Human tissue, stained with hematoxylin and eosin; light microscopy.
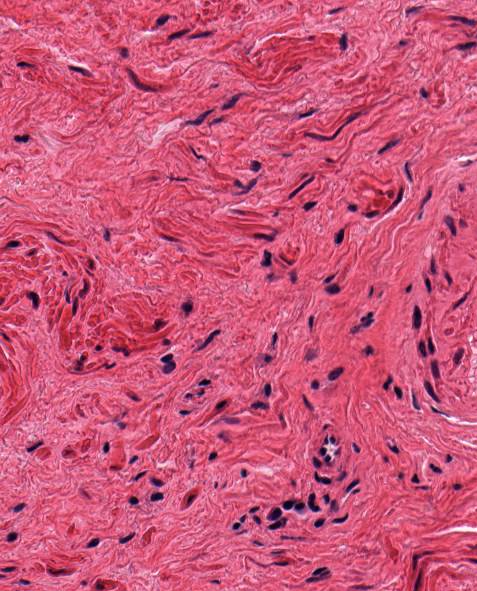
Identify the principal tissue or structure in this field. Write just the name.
fibromuscular stroma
